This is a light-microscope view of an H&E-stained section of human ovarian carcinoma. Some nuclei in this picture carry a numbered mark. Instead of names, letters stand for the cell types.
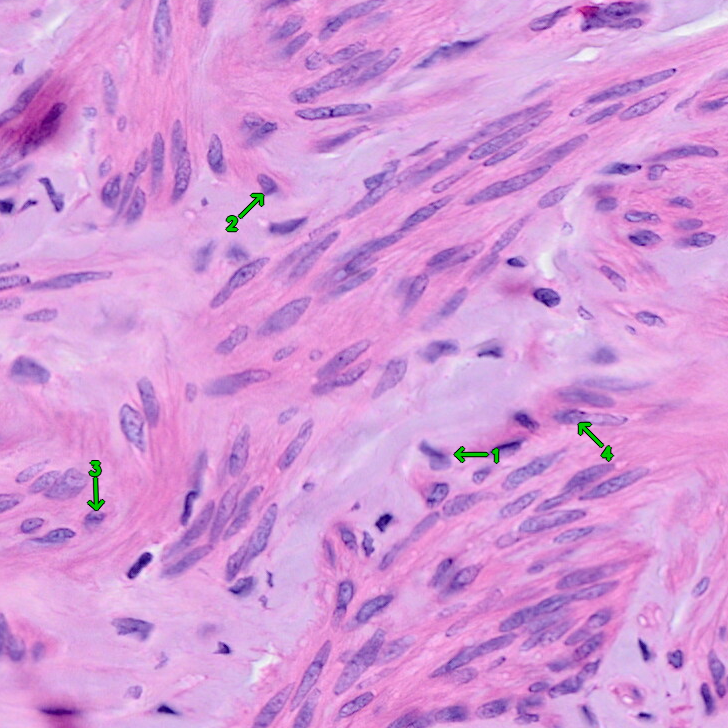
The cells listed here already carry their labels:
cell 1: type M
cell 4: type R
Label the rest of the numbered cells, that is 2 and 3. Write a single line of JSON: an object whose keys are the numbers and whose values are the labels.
{"2": "type R", "3": "type R"}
